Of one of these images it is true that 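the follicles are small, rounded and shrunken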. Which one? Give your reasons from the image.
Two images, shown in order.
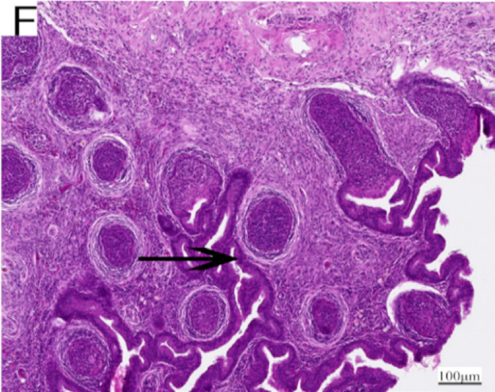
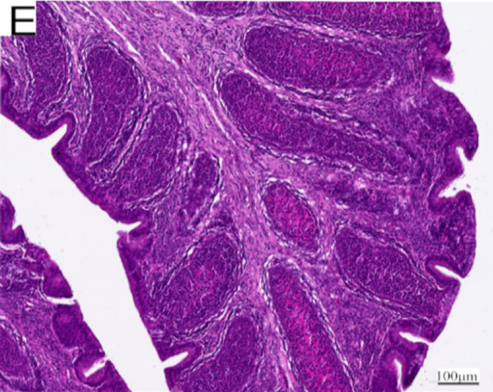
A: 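The first image. First image: follicles are small round islands set in abundant pale connective tissue. Second image: follicles are large, elongated and closely packed within the folds.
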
